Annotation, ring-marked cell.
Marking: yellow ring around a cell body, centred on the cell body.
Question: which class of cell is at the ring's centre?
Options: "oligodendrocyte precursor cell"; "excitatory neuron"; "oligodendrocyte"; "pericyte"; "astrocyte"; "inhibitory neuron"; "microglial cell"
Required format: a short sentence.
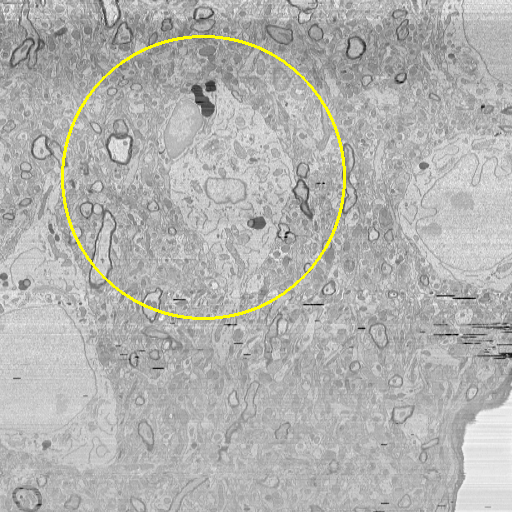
At the ring's centre is a microglial cell.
